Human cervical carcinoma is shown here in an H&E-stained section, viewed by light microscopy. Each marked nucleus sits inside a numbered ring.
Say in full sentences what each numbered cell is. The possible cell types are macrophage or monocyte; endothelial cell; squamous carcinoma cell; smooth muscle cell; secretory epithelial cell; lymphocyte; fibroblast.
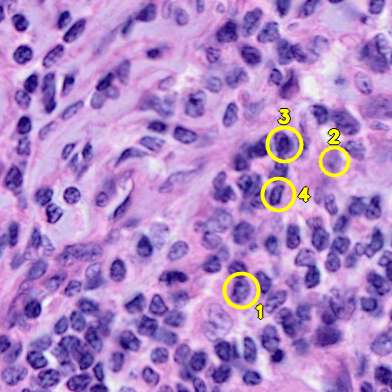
Cells 1, 3 and 4 are lymphocytes. Cell 2 is an endothelial cell.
